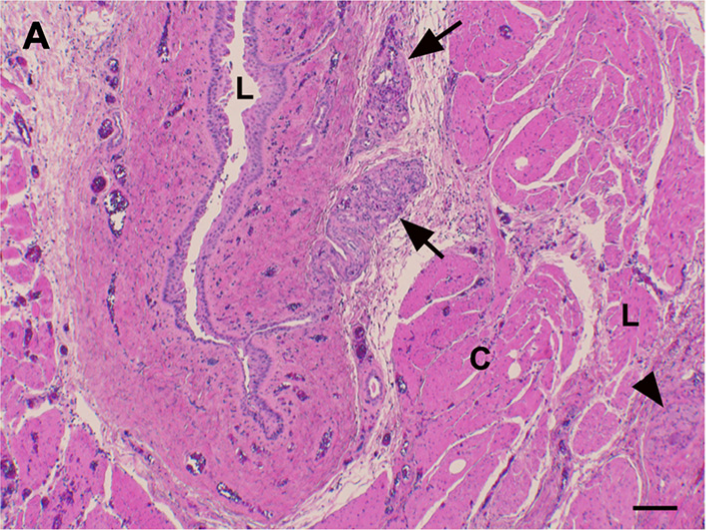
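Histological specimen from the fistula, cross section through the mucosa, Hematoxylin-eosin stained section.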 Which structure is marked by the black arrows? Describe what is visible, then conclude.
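The arrows point to purple-staining clusters of small tubular and acinar profiles. The clusters lie in loose connective tissue between the lumen wall and the muscle bundles.
Inactive glandular structures.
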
